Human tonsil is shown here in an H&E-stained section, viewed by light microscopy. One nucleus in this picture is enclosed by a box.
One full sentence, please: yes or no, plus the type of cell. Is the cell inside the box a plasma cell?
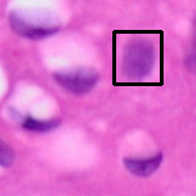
No, the cell inside the box is typed as a squamous epithelial cell rather than as a plasma cell.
